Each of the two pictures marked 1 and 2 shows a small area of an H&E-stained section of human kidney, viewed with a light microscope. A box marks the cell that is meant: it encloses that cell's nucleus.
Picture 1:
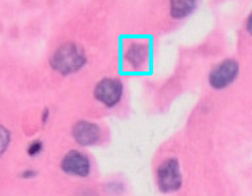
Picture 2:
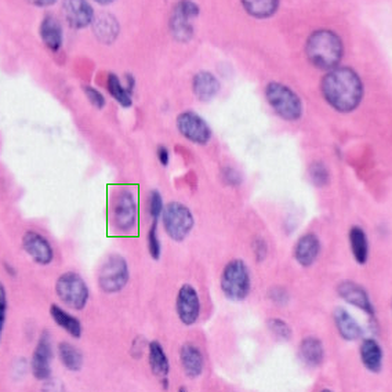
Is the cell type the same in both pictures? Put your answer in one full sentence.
Yes; the cells in both pictures are “loop of Henle or distal tubule cells”.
